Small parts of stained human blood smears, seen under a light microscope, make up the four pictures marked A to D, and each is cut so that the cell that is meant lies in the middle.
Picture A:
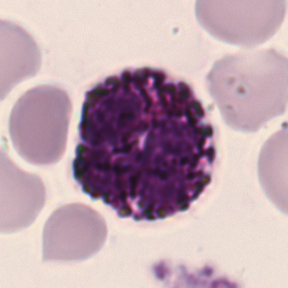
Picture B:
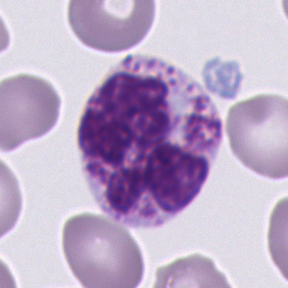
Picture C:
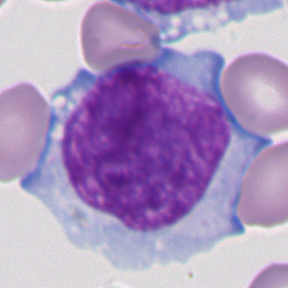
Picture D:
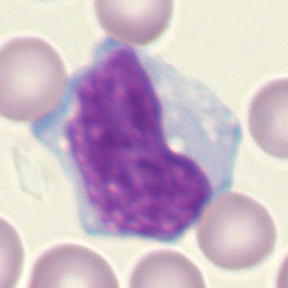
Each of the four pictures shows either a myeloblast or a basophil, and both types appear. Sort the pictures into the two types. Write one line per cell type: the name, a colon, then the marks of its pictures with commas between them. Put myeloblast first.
myeloblast: C, D
basophil: A, B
